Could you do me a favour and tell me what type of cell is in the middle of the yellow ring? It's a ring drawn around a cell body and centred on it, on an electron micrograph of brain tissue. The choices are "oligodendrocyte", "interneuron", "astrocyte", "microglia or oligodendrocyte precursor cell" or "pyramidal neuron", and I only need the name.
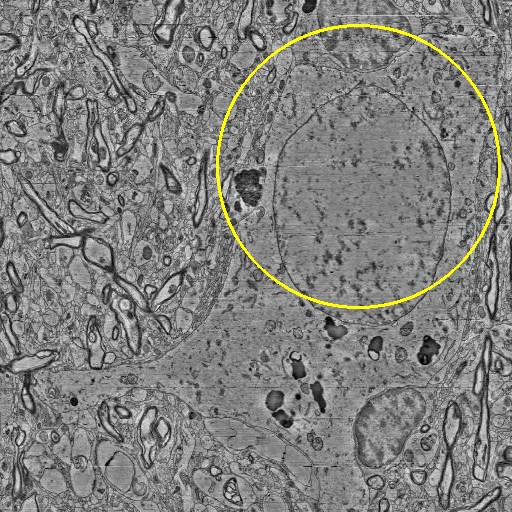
pyramidal neuron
